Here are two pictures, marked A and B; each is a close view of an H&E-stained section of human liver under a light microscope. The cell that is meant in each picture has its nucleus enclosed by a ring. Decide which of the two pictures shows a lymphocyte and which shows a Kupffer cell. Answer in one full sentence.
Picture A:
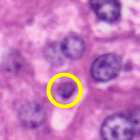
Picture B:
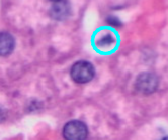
It is picture A that shows a Kupffer cell, and picture B that shows a lymphocyte.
